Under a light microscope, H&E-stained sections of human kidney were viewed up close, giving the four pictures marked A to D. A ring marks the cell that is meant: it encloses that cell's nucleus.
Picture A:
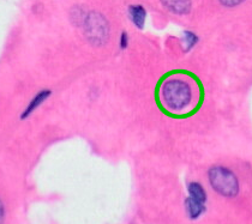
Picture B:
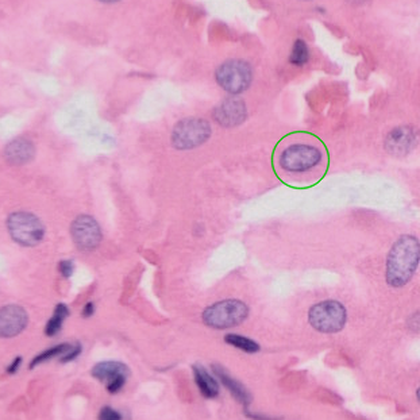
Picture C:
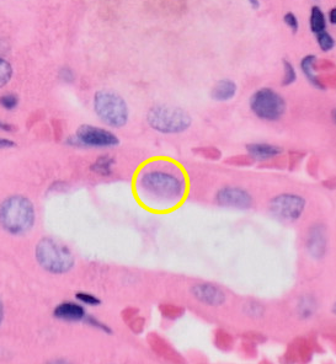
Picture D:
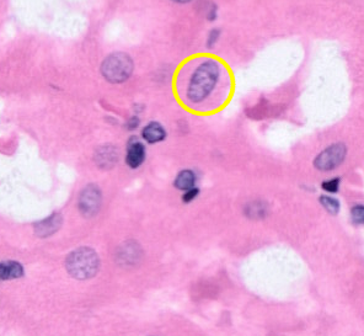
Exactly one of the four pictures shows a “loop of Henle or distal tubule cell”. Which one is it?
C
